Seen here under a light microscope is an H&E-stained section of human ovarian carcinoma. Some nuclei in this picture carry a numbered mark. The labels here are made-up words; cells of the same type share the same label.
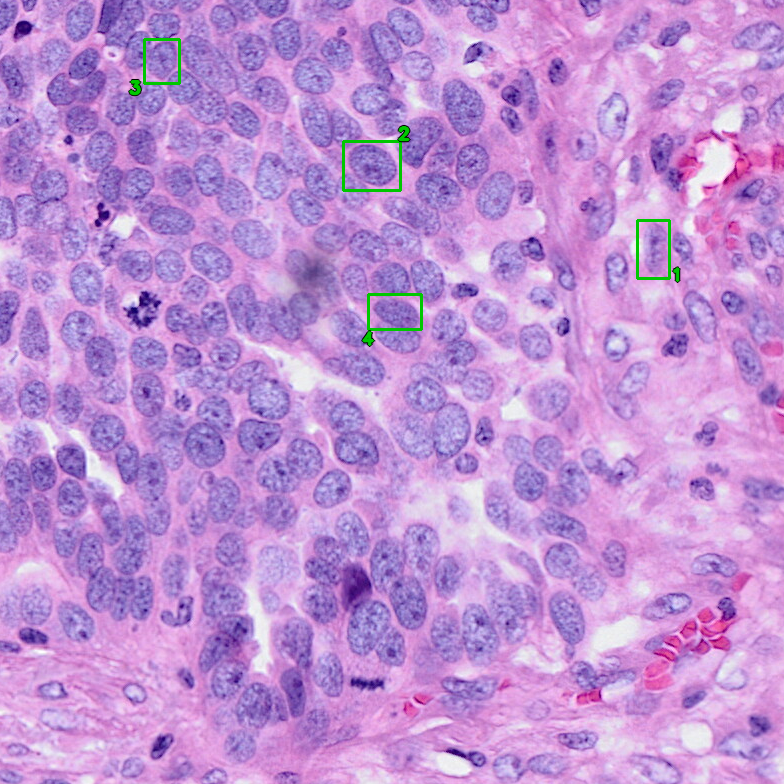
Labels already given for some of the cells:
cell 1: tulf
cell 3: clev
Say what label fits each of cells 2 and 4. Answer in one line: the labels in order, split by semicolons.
clev; clev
